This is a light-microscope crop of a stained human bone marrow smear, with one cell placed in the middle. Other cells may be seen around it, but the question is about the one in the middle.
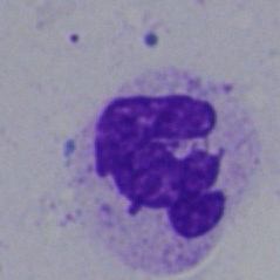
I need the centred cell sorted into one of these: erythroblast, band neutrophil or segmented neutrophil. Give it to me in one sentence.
The cell at the centre of the field is a segmented neutrophil.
